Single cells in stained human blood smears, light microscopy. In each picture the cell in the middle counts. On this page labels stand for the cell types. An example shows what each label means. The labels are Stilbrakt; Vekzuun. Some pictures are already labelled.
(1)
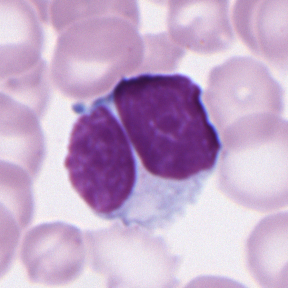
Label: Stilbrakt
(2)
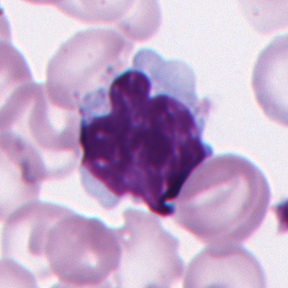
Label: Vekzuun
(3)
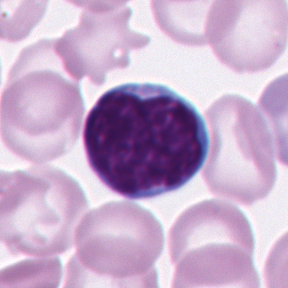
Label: Vekzuun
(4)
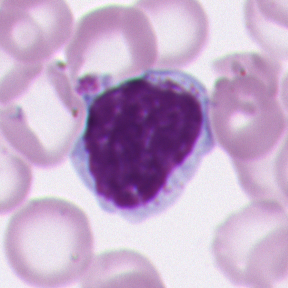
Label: Vekzuun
